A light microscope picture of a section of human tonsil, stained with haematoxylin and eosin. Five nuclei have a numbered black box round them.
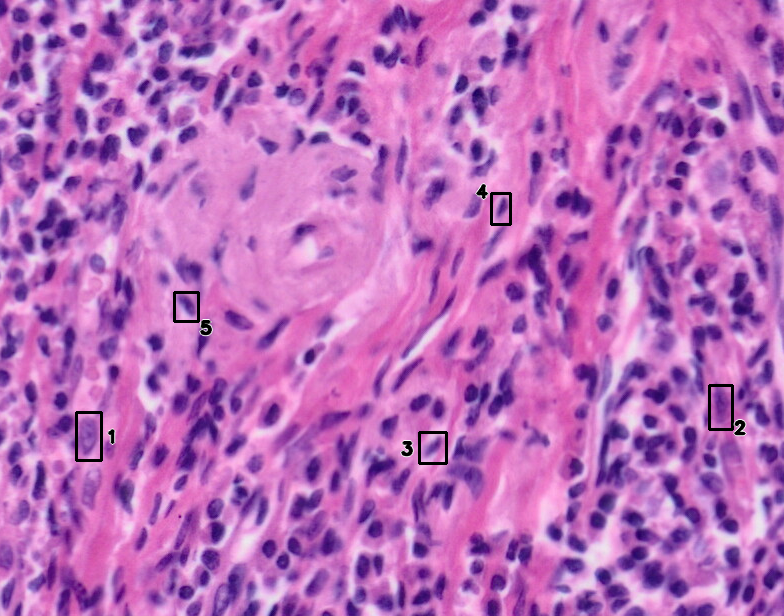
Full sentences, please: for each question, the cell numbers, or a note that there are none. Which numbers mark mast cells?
Regarding the numbered cells 3, 4 and 5, these are mast cells.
